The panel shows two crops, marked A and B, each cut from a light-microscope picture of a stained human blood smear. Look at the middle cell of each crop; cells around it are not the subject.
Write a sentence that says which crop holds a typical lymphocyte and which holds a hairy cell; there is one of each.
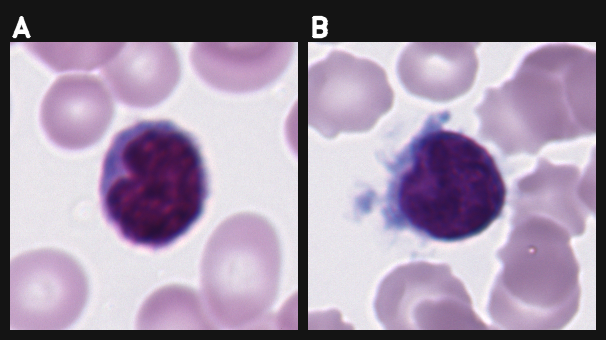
Crop A is a typical lymphocyte and crop B is a hairy cell.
